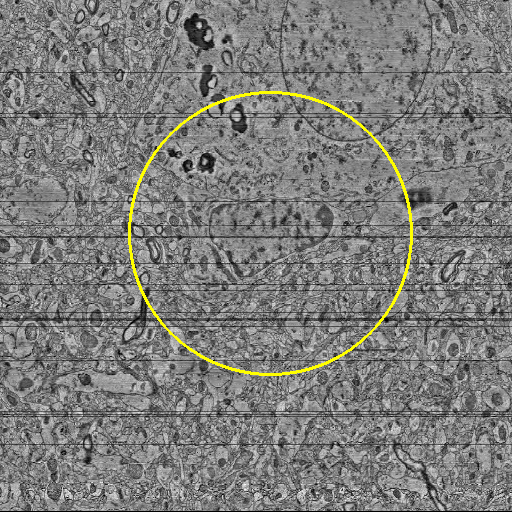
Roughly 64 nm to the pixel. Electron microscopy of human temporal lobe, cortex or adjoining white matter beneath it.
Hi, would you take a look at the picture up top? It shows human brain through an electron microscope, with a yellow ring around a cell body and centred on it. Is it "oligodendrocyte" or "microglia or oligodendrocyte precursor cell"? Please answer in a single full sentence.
The best fit for the cell in the middle of the ring is a microglial cell or oligodendrocyte precursor cell, I reckon.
